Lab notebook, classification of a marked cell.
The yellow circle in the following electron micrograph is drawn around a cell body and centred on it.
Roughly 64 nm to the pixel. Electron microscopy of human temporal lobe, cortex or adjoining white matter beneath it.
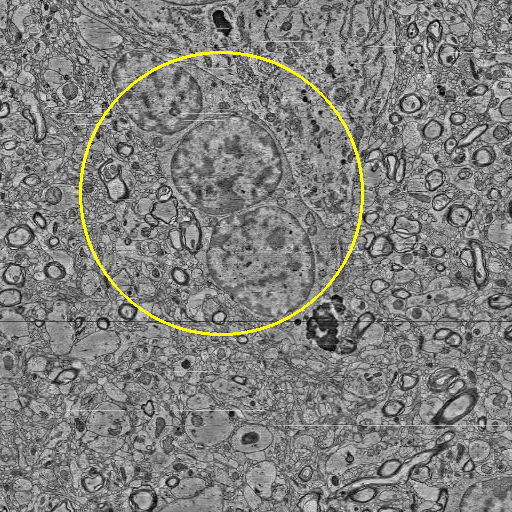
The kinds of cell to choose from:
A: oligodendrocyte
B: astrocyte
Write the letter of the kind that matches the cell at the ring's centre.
A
